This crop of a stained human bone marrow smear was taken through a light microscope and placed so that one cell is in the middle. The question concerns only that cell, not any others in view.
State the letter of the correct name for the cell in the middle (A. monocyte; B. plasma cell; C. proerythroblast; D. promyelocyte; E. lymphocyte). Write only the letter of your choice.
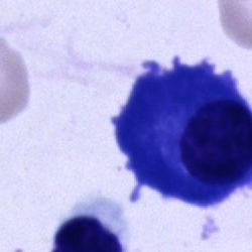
B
